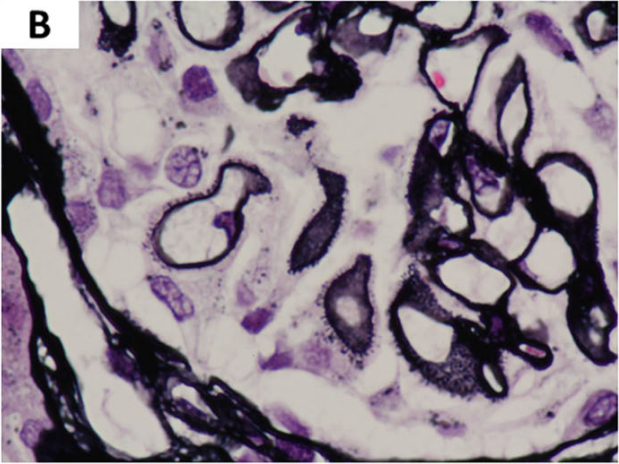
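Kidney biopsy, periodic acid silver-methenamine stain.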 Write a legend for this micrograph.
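Part of a glomerulus in which the capillary walls stand out as thick black rings around open lumens. The outer surfaces of these walls bear fine projecting spikes and a bubbly look, while purple cell nuclei lie between and along the loops. The black-outlined capsule runs along the lower left edge.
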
